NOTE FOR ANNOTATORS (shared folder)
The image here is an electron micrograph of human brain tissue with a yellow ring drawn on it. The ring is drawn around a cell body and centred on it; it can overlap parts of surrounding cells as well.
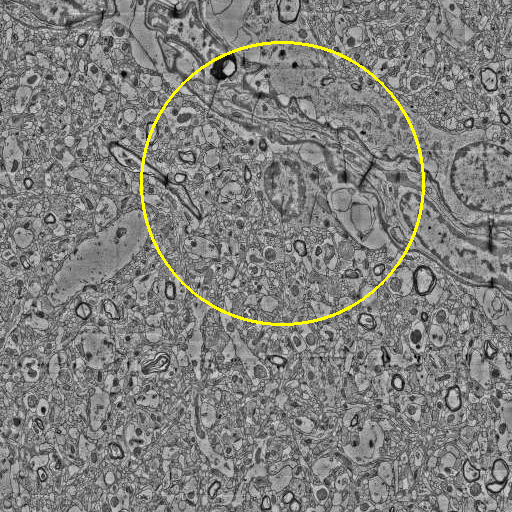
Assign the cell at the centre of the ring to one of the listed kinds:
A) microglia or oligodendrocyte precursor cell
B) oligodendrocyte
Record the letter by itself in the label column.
B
